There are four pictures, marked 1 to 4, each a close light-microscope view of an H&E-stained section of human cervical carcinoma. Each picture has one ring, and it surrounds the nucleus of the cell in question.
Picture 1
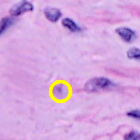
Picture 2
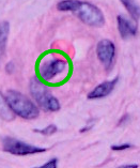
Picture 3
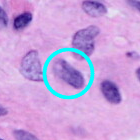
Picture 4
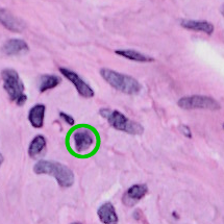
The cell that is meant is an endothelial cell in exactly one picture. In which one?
2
